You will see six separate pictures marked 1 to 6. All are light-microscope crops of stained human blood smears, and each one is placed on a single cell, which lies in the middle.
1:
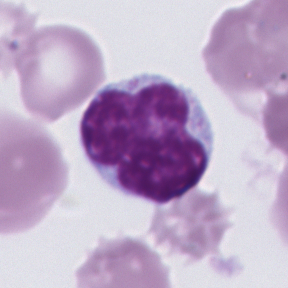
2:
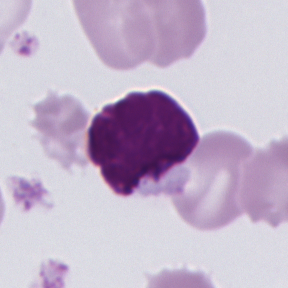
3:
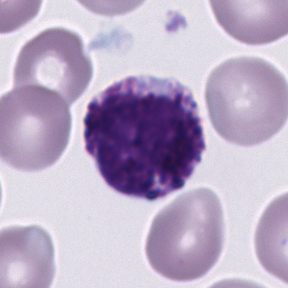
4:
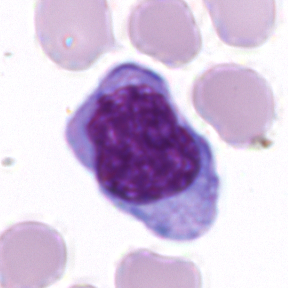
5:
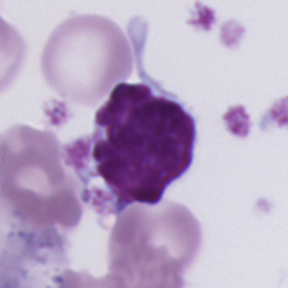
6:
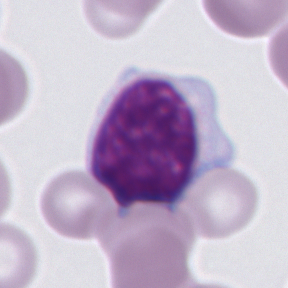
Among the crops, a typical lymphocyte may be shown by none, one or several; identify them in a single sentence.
On review, crops 1, 2 and 5 show typical lymphocytes.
